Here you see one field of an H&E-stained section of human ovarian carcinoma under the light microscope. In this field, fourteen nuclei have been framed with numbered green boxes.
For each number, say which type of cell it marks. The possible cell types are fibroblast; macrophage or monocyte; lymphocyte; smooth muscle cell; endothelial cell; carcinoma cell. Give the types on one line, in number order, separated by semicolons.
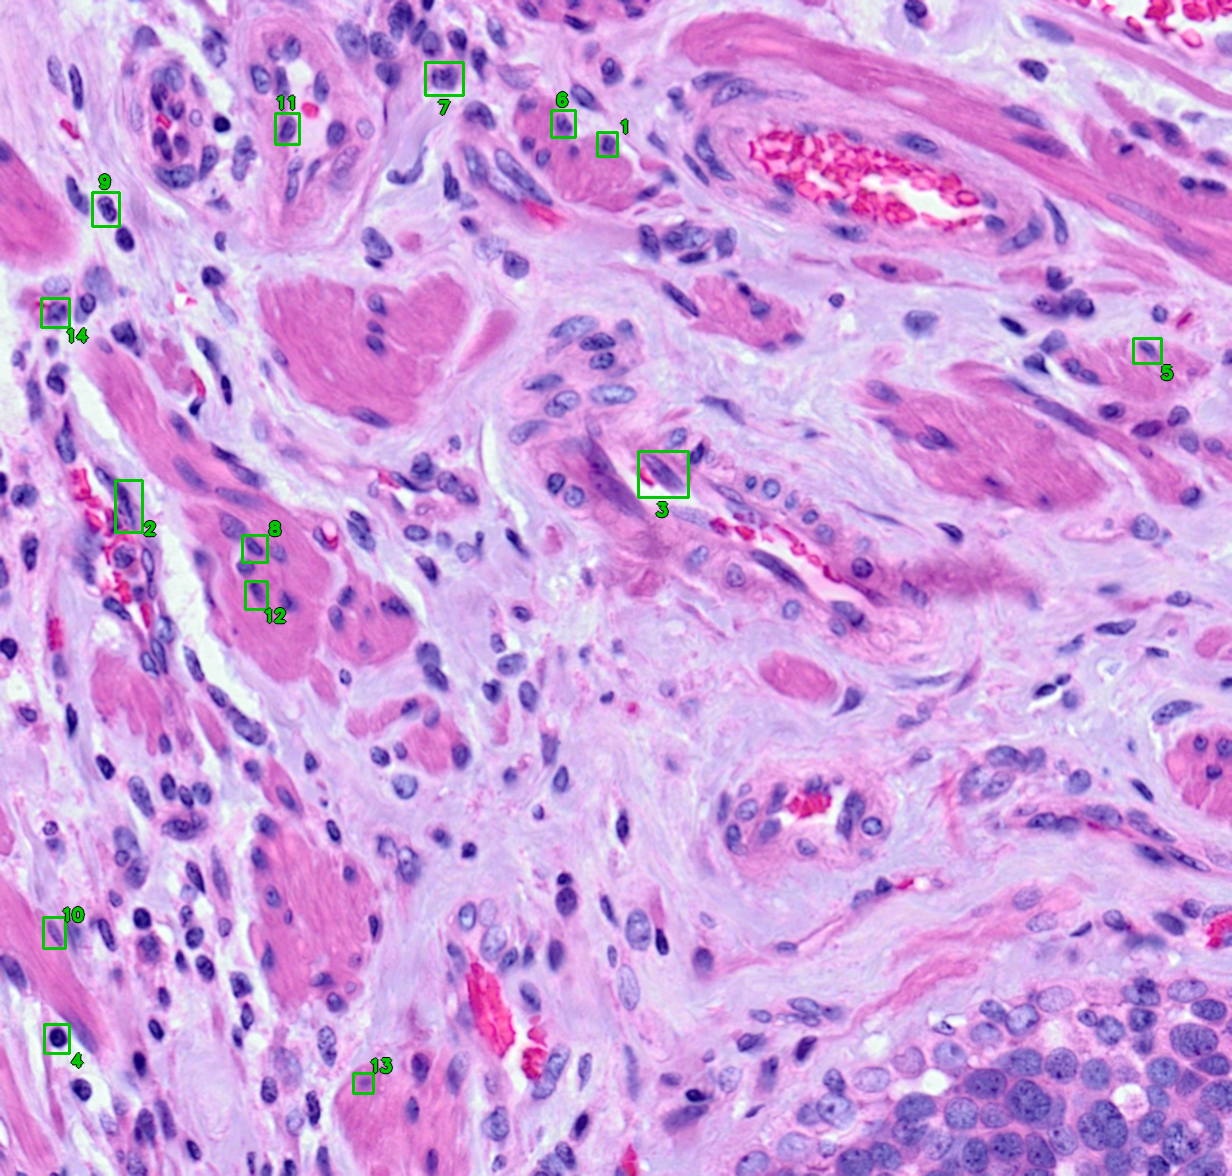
smooth muscle cell; endothelial cell; endothelial cell; lymphocyte; smooth muscle cell; smooth muscle cell; macrophage or monocyte; smooth muscle cell; lymphocyte; smooth muscle cell; endothelial cell; smooth muscle cell; smooth muscle cell; endothelial cell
